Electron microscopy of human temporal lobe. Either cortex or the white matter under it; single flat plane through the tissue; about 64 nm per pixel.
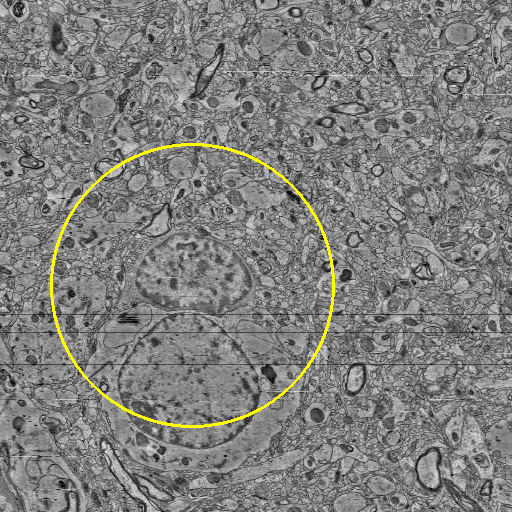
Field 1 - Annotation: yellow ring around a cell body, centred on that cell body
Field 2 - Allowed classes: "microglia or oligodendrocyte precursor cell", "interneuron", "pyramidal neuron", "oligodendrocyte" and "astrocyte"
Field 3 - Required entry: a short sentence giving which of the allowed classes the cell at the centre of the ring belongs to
The centred cell is a microglial cell or oligodendrocyte precursor cell.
